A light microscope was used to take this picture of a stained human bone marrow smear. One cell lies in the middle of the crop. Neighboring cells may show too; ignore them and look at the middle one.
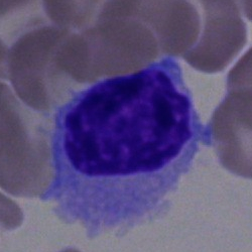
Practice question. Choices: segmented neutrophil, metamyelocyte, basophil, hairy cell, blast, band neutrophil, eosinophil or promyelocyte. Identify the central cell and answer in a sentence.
The target cell in the middle of the crop is a hairy cell.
